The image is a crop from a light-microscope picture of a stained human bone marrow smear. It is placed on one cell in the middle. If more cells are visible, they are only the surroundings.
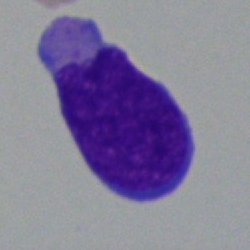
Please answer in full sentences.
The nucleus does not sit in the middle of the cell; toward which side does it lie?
The nucleus lies toward the lower right of the cell.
